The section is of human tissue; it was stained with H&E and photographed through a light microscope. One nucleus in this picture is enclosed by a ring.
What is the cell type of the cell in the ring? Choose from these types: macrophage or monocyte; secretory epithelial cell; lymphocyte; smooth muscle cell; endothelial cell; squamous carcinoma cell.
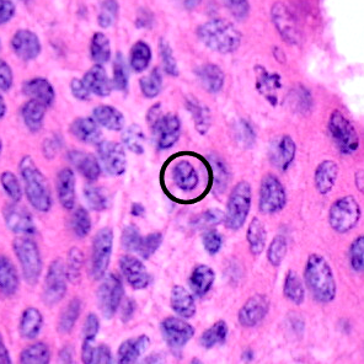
squamous carcinoma cell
